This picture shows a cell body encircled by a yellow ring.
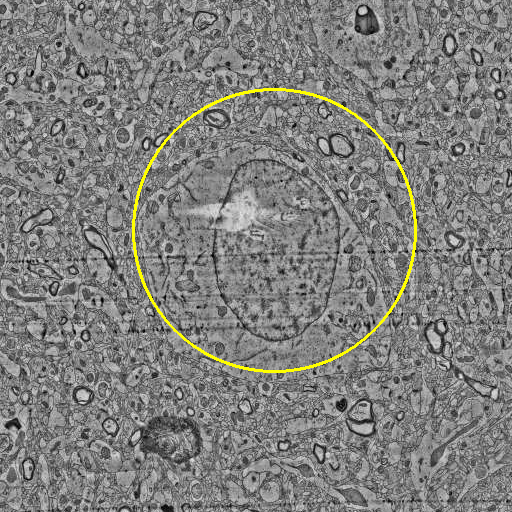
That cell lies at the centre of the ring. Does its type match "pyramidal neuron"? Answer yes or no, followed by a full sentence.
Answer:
Yes, in the picture, the ring surrounds a cell of that type at its centre.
